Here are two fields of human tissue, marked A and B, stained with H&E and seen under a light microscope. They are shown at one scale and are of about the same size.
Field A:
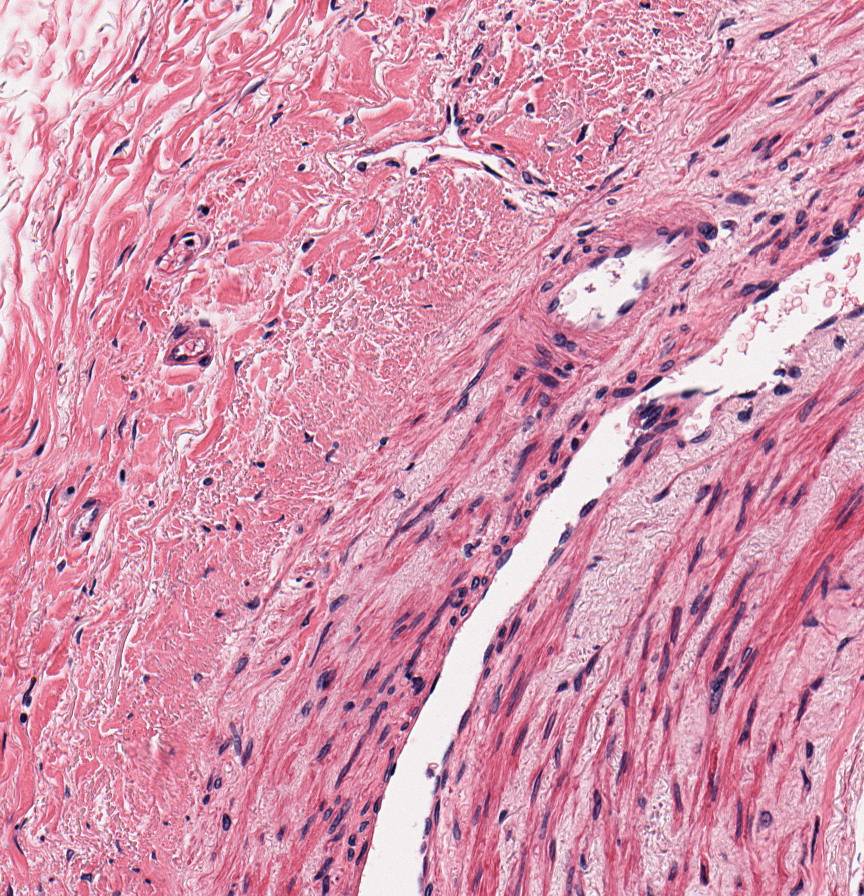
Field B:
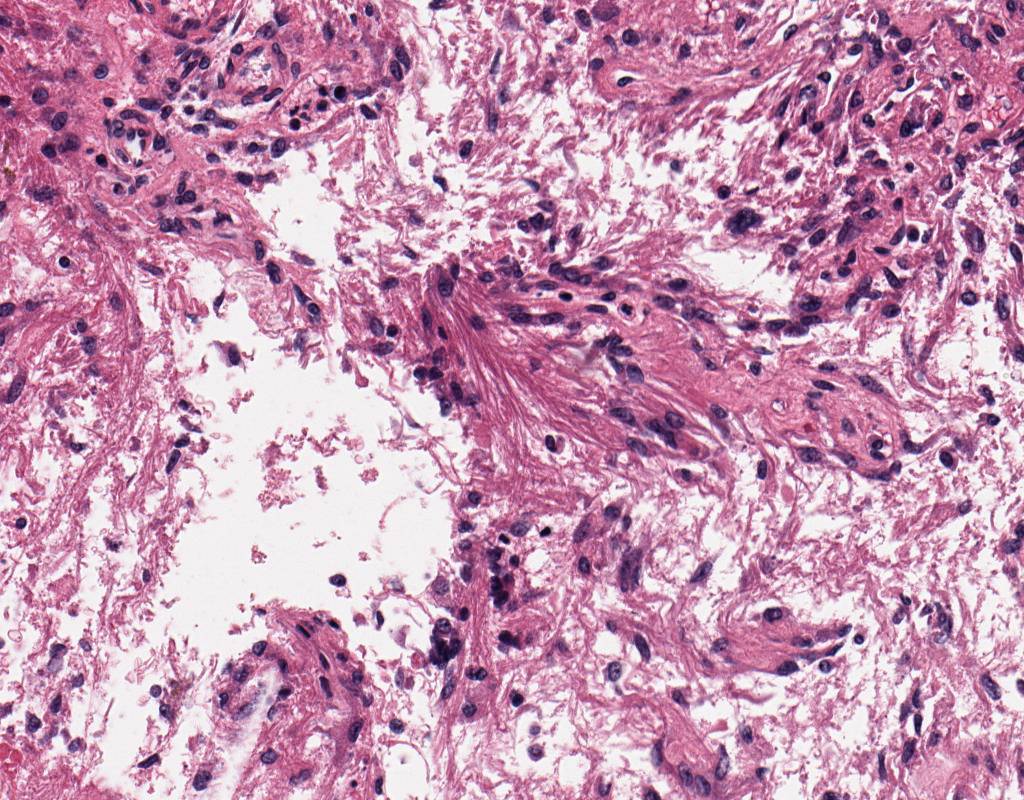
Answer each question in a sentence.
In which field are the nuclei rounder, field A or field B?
Rounder nuclei lie in field B.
